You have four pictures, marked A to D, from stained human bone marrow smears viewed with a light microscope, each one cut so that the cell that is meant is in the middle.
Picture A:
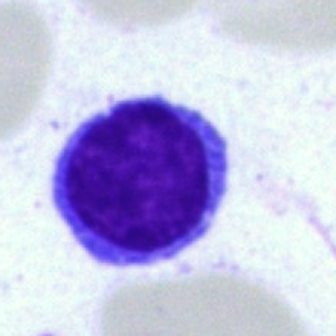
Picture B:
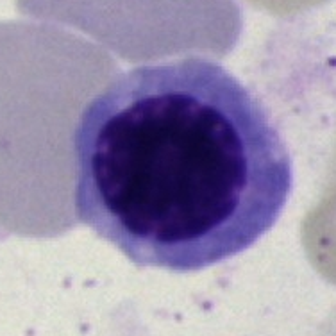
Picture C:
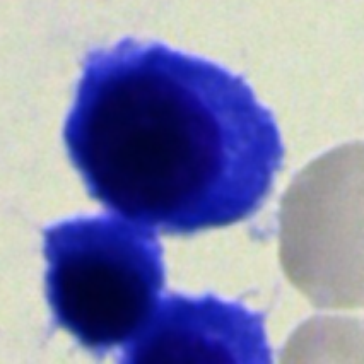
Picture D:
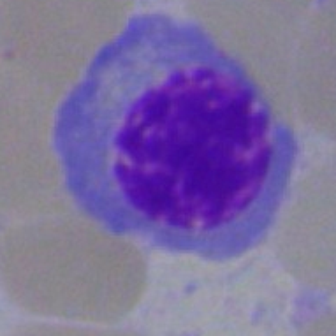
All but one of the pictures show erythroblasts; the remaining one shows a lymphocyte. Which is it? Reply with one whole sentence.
It is picture A that shows the lymphocyte.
